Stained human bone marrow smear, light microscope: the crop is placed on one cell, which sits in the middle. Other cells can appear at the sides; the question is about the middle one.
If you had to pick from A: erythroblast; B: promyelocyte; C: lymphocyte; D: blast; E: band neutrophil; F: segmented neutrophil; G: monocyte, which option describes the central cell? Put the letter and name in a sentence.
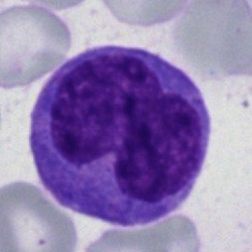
Option G is the correct one; it names the central cell as a monocyte.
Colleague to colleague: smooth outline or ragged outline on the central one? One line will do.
Nothing juts out from the margin, which is smooth throughout.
